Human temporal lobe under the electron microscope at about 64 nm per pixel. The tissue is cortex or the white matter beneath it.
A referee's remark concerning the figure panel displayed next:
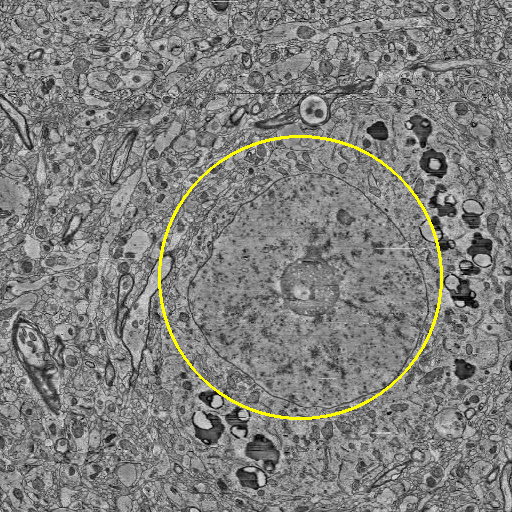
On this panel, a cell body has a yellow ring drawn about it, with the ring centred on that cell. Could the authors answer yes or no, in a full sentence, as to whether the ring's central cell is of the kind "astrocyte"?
No, the cell sitting at the middle of the ring on this panel belongs to a different kind.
